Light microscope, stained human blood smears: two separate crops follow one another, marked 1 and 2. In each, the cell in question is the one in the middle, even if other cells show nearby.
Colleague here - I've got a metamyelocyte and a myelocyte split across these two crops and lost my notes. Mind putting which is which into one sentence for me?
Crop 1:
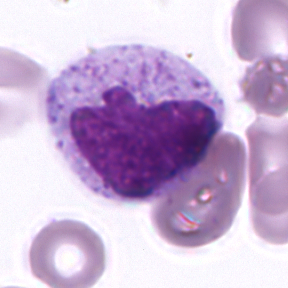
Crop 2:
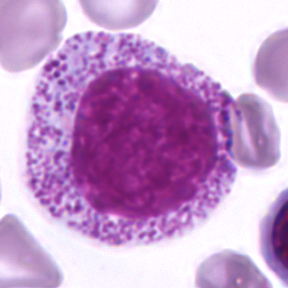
To sum up the two crops, crop 1 is a metamyelocyte and crop 2 is a myelocyte.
